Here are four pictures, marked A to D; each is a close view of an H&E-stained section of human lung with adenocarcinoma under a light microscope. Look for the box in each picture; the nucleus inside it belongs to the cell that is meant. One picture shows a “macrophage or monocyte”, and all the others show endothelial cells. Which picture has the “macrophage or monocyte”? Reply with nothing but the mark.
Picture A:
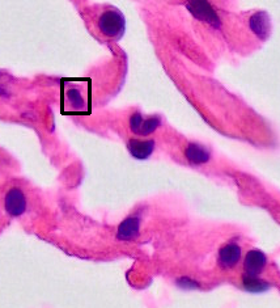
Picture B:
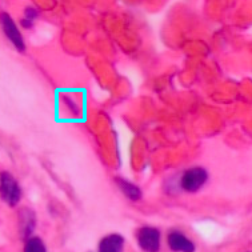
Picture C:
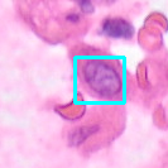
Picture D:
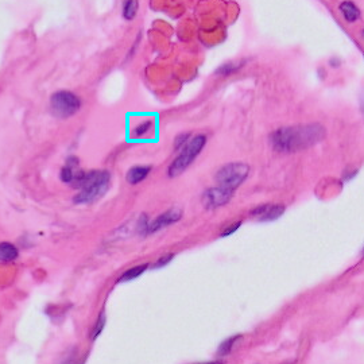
C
